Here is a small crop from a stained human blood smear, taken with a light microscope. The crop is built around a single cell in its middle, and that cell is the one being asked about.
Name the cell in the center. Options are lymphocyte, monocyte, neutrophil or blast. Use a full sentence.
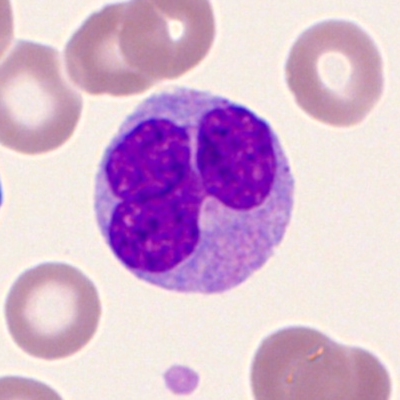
The middle position in this crop is taken by a monocyte.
